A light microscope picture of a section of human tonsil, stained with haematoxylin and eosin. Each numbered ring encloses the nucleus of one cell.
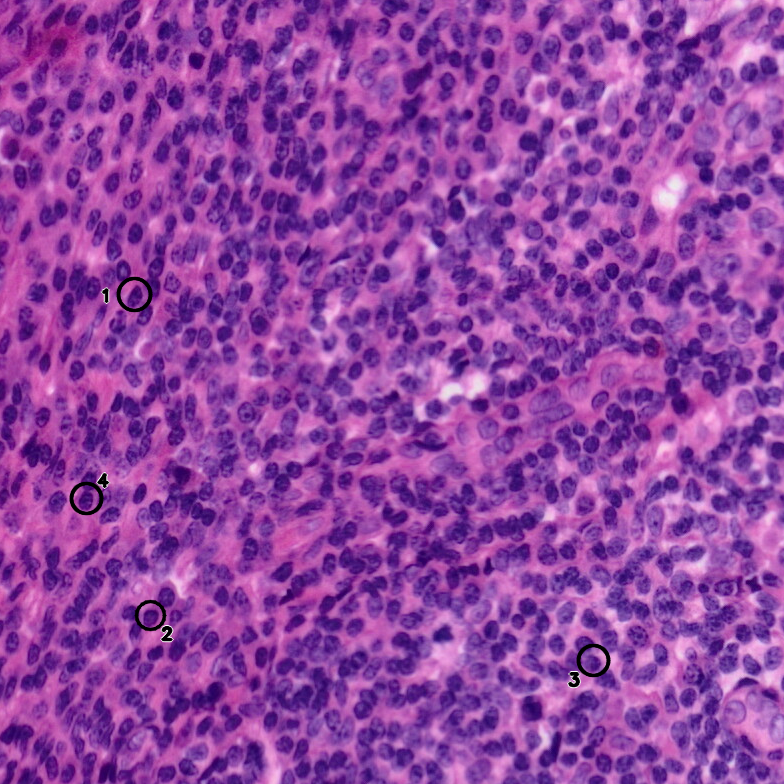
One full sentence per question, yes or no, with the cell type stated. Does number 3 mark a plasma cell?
No, it is not a plasma cell that bears number 3 but a small lymphocyte.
